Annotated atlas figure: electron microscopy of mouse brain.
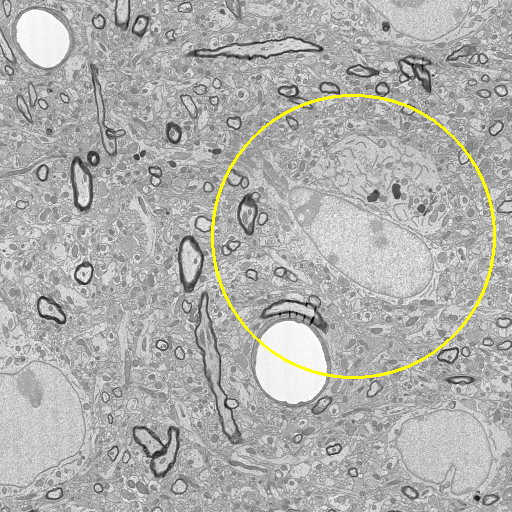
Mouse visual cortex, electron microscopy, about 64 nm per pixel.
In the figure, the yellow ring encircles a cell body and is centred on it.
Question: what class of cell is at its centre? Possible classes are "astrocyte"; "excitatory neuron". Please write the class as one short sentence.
The yellow ring is drawn around an astrocyte.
